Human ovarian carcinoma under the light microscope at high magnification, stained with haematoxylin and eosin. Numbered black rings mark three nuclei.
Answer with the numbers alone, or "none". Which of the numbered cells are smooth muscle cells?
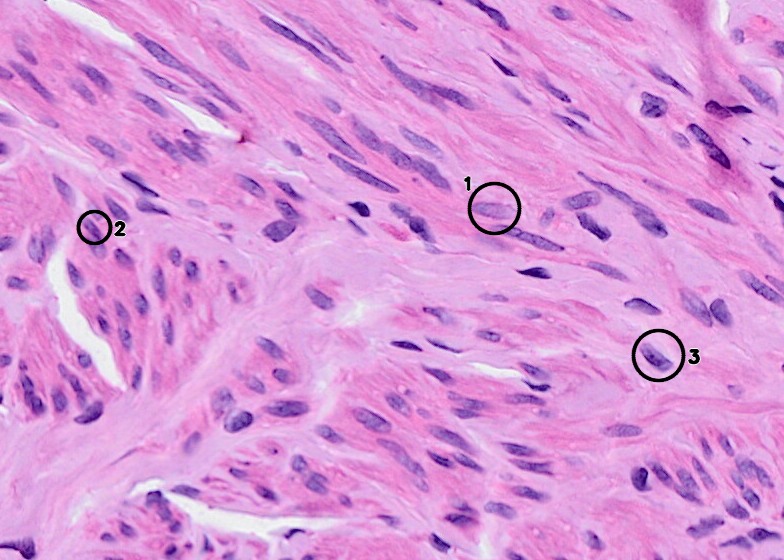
1, 2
